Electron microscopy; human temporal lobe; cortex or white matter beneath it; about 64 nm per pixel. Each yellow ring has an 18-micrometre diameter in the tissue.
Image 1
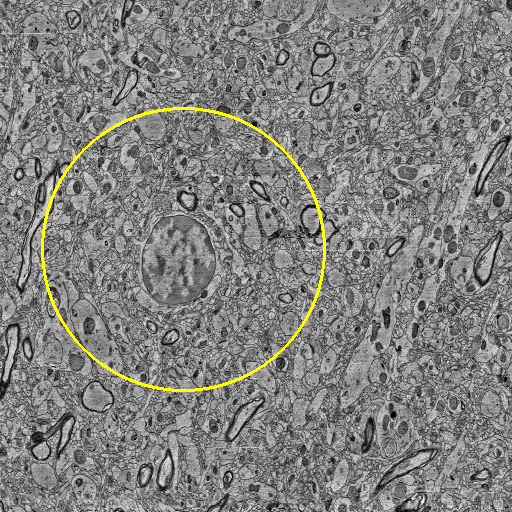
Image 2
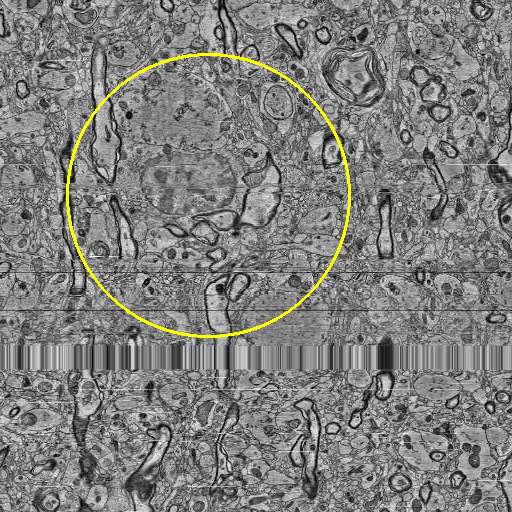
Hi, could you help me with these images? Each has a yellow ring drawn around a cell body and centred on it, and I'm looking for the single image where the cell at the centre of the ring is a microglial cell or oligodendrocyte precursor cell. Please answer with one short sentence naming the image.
It is Image 1 that has it at the centre of its ring.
